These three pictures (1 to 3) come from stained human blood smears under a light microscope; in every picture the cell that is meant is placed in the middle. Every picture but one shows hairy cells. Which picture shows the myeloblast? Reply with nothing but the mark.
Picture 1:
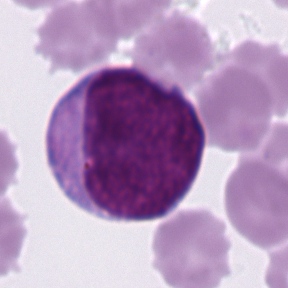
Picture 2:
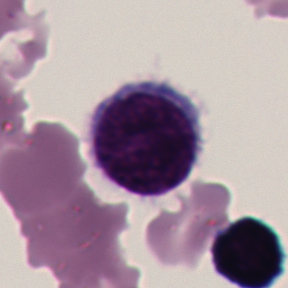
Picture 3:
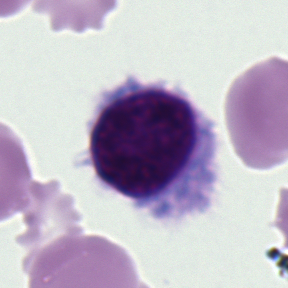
1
